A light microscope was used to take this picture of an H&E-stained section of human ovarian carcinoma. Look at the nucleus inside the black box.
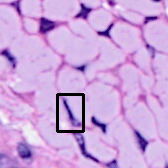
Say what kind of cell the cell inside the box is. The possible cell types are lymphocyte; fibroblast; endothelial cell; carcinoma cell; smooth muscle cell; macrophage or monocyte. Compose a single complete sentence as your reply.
Speaking plainly, the cell inside the box is nothing other than a fibroblast.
